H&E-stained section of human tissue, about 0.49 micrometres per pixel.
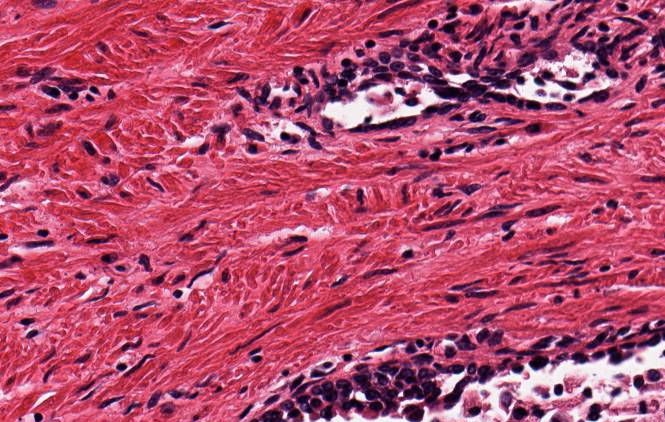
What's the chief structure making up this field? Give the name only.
fibromuscular stroma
